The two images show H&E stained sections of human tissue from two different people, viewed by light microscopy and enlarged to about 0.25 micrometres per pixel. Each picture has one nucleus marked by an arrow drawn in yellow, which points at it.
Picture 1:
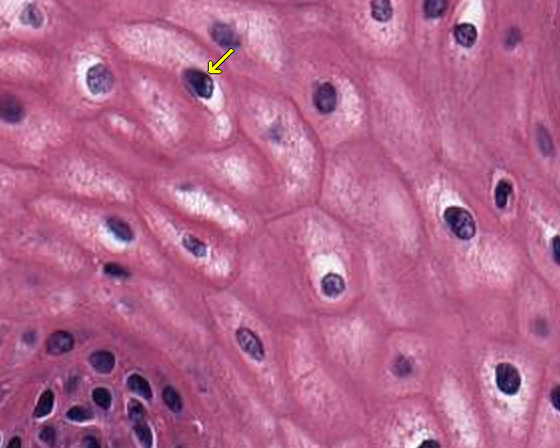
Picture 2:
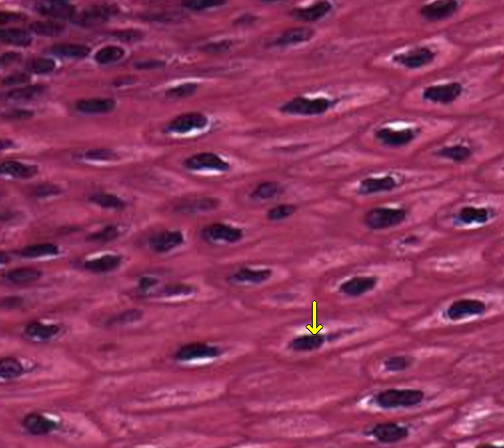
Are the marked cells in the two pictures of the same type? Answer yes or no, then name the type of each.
Yes, both are squamous epithelial cells.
